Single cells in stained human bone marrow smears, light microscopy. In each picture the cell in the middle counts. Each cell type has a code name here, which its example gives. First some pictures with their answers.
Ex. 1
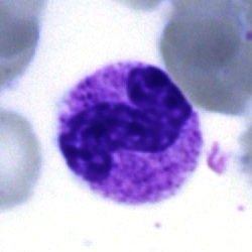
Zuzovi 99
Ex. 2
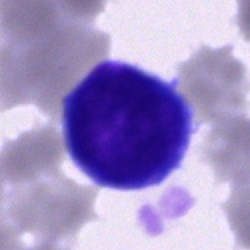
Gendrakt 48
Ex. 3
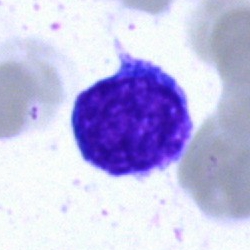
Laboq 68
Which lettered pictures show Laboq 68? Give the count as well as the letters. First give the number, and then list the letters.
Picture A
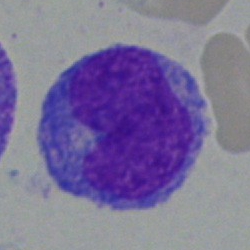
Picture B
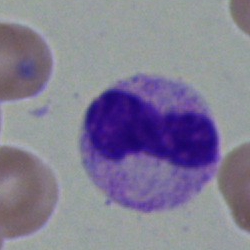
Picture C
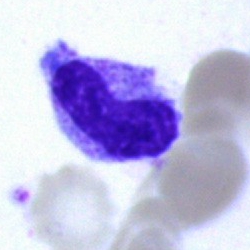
0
